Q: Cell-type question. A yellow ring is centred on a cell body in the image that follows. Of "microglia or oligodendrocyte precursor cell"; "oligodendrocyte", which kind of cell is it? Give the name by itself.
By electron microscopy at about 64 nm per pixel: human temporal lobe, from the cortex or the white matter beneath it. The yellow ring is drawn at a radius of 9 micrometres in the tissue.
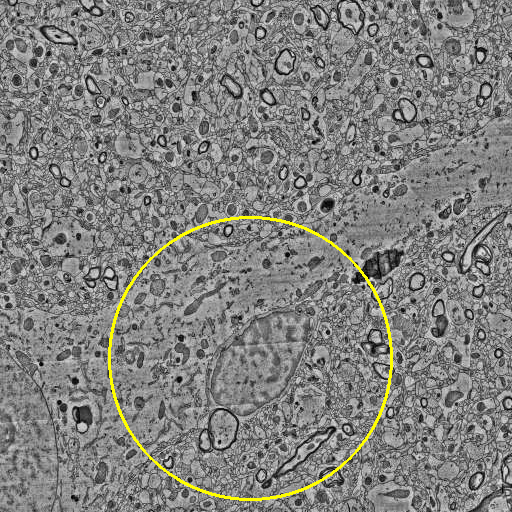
oligodendrocyte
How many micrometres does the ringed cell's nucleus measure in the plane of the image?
In this plane, approximately 8 by 5 micrometers, and clearly longer than it is wide.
